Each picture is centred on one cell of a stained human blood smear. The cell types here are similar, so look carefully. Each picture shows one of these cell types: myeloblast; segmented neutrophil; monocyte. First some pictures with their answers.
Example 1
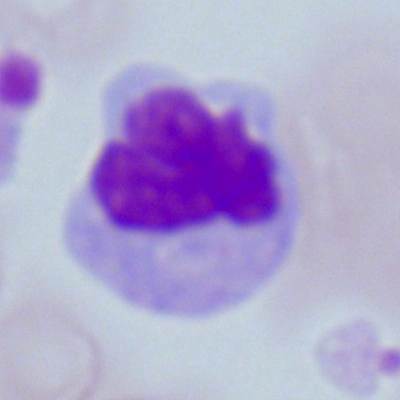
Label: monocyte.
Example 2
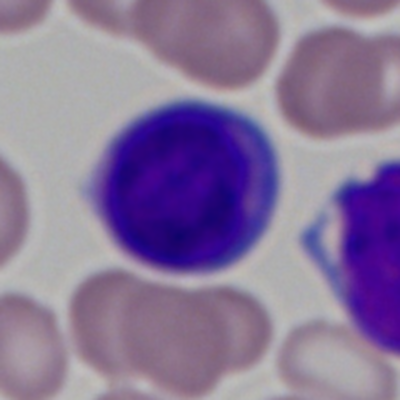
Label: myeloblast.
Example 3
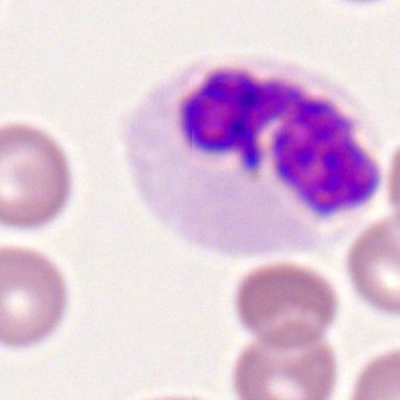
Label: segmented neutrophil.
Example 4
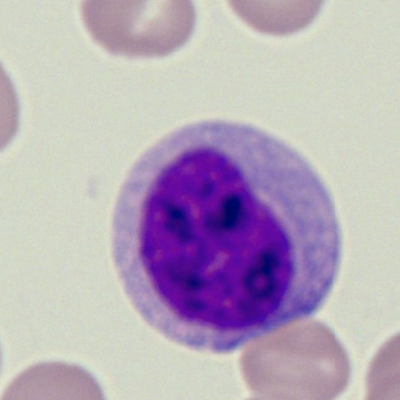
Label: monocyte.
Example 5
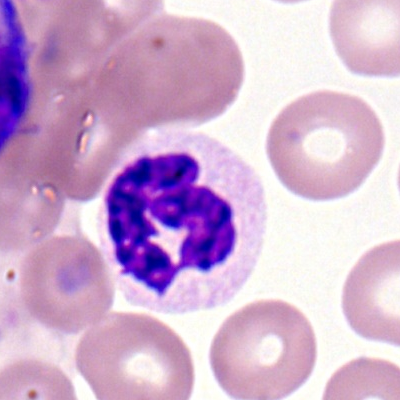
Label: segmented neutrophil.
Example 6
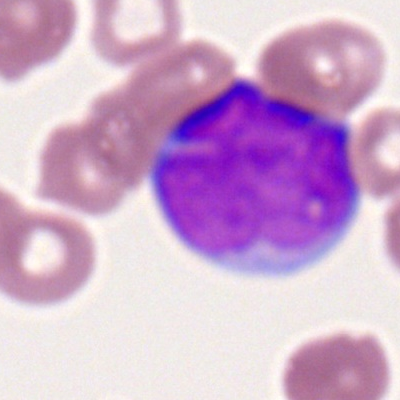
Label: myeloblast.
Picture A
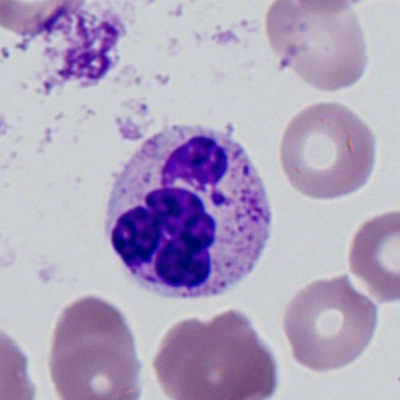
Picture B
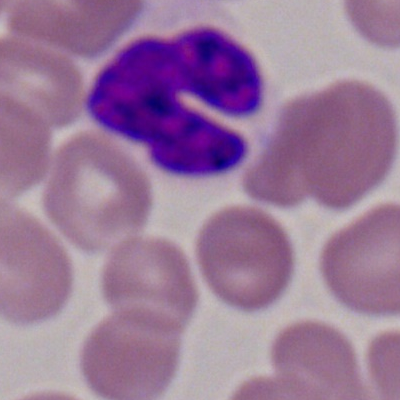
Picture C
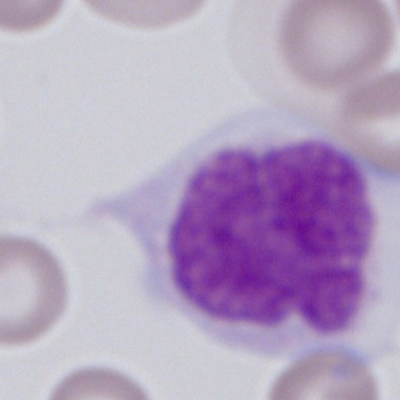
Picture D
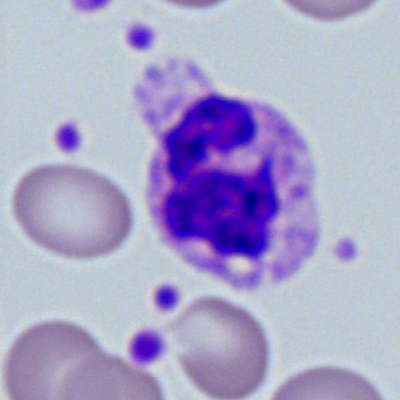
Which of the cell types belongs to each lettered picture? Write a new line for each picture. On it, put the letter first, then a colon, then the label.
A: segmented neutrophil.
B: segmented neutrophil.
C: monocyte.
D: segmented neutrophil.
